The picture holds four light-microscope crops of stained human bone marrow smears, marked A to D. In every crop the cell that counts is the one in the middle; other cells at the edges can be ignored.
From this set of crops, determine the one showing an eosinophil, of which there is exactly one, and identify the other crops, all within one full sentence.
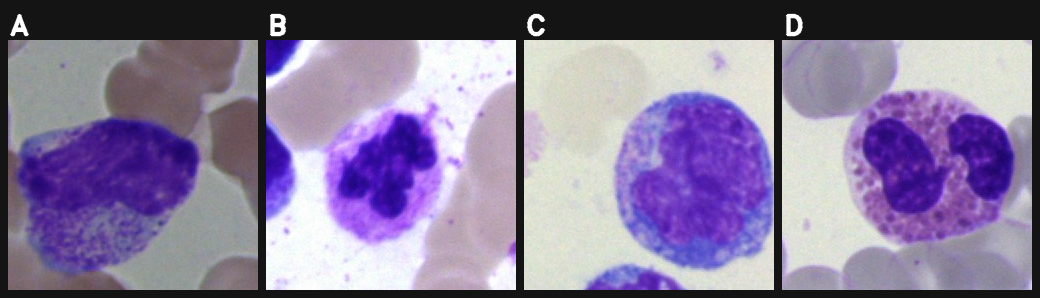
Shown in crop D is an eosinophil, whereas crop A is a metamyelocyte, crop B is a segmented neutrophil and crop C is a monocyte.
